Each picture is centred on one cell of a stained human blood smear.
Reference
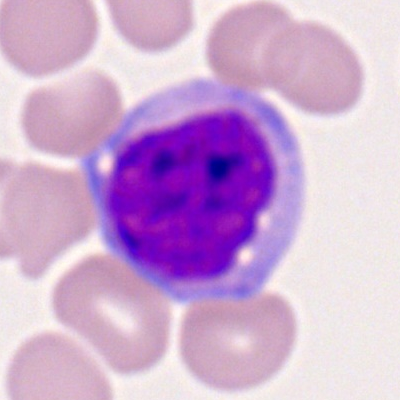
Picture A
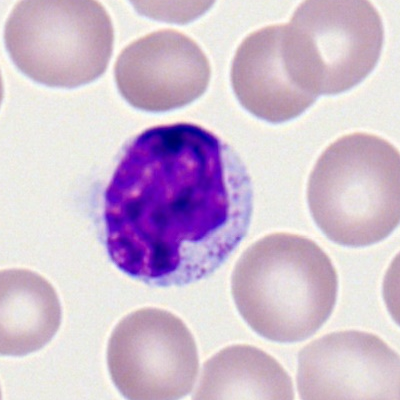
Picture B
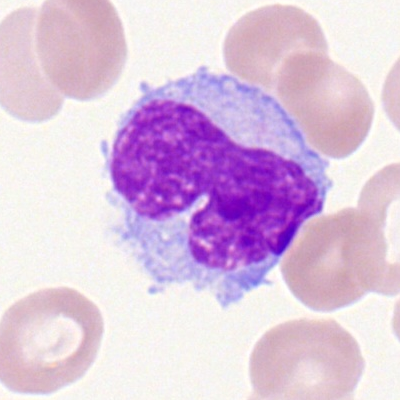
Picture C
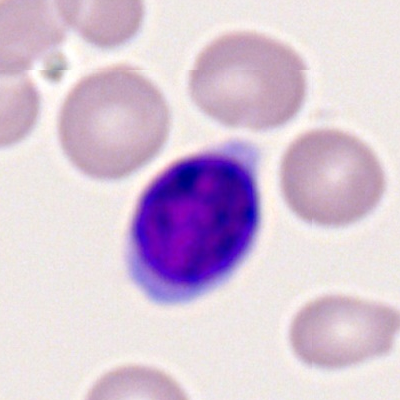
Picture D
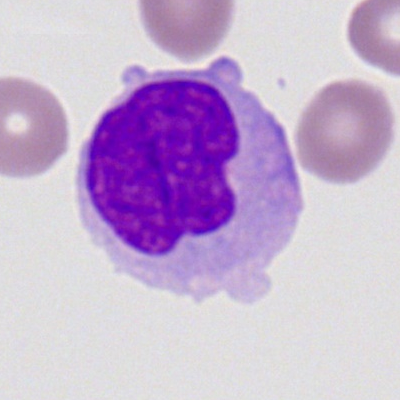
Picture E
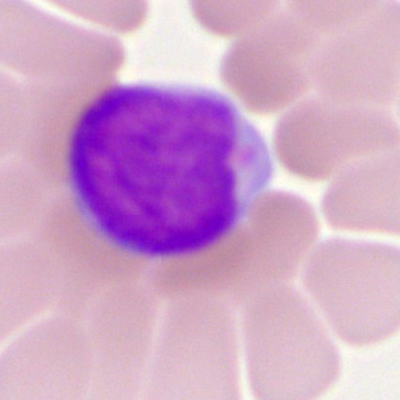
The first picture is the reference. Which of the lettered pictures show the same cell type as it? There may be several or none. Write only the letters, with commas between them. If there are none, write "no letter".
B, D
